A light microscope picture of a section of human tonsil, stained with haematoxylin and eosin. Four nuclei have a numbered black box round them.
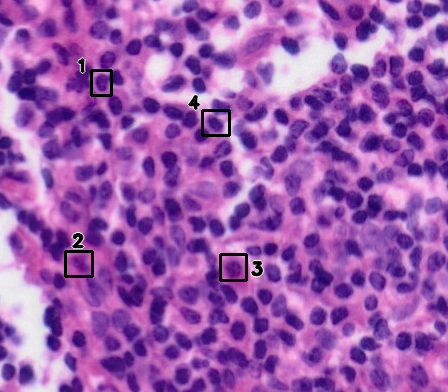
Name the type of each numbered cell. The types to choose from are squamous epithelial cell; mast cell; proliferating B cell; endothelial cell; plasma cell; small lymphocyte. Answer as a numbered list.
1. small lymphocyte
2. endothelial cell
3. plasma cell
4. small lymphocyte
